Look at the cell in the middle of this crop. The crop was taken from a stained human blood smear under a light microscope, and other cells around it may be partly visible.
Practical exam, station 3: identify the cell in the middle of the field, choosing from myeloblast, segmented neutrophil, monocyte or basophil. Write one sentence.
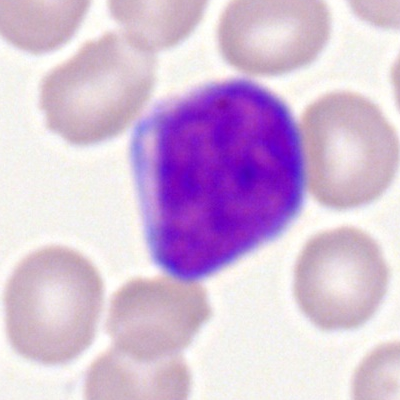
To answer, the cell in the center of the crop is a myeloblast.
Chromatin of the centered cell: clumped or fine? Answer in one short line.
Here the nuclear chromatin is coarsely clumped.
